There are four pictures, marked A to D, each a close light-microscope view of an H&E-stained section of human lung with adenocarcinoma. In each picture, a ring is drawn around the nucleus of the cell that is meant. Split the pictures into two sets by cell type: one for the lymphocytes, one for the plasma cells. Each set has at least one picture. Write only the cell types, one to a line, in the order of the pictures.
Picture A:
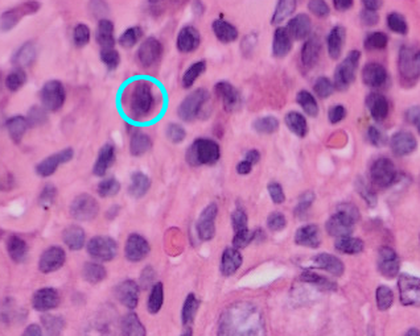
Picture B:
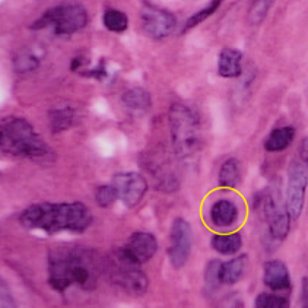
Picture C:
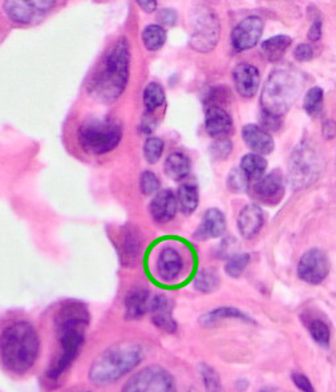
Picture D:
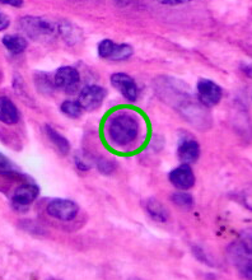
plasma cell
lymphocyte
plasma cell
plasma cell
